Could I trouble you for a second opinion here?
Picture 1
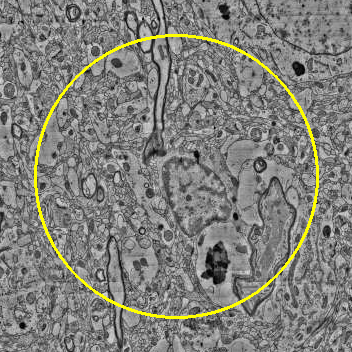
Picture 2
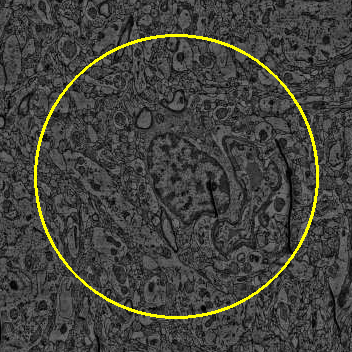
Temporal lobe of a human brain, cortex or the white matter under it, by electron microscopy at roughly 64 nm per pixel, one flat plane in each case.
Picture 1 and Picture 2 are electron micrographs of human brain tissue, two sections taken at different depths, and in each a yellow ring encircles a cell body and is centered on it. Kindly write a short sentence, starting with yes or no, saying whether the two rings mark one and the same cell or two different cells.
Yes, the rings do not mark different cells but one cell.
